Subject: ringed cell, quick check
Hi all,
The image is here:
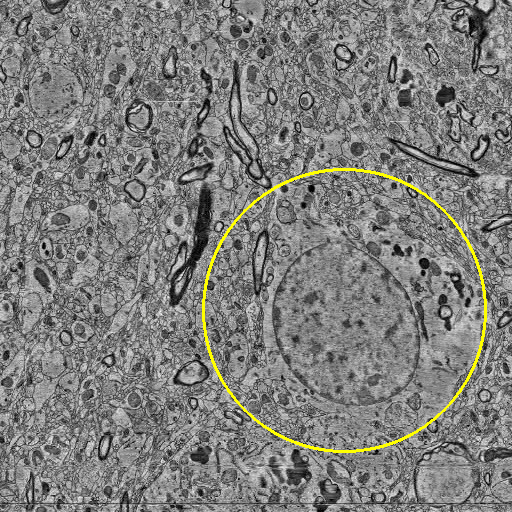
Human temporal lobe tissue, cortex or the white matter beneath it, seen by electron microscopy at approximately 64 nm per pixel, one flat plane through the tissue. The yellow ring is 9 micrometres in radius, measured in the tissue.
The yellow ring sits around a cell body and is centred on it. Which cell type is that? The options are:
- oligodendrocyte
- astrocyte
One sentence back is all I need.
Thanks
That ringed cell is an astrocyte.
